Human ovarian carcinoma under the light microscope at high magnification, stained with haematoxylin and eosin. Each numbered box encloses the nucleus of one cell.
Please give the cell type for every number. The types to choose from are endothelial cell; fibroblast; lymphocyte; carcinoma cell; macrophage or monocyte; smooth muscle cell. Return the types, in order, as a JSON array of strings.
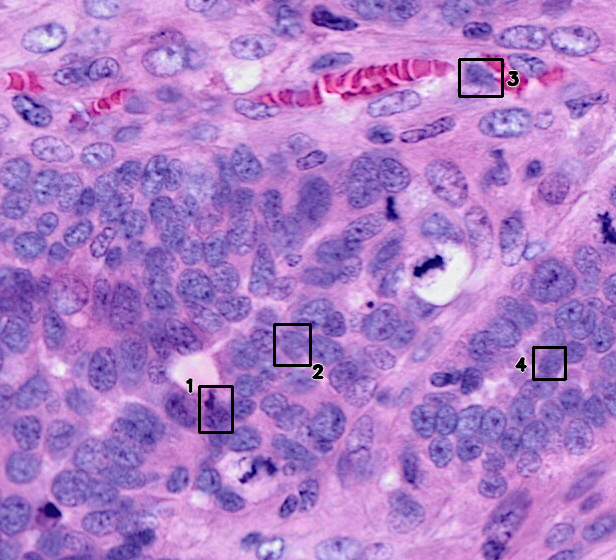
["carcinoma cell", "carcinoma cell", "endothelial cell", "carcinoma cell"]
